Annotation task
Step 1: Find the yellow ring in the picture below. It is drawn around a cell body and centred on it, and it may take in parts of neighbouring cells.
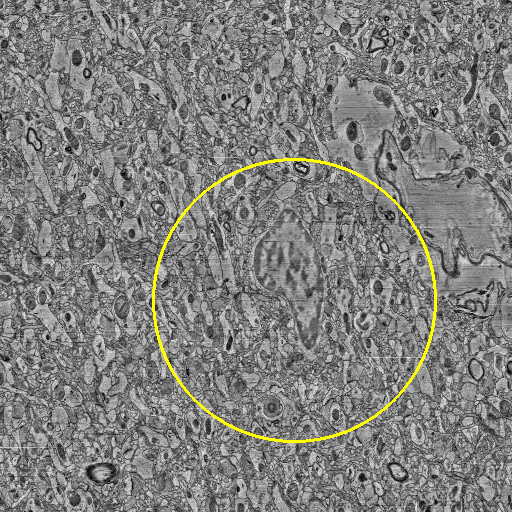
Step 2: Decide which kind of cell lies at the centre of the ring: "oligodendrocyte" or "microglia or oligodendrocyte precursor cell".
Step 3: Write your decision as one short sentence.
The kind of cell at the ring's centre is a microglial cell or oligodendrocyte precursor cell.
